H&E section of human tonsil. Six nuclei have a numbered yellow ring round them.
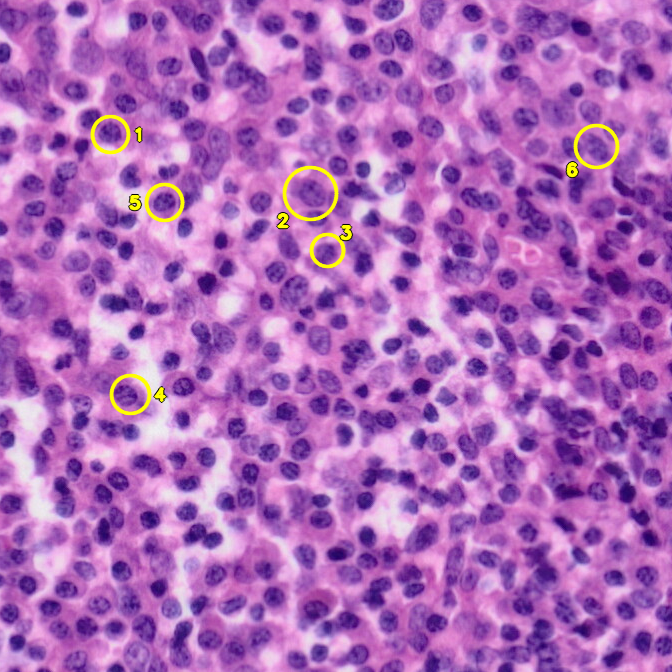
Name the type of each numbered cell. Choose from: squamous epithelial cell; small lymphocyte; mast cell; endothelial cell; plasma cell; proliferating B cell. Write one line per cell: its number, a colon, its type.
1: plasma cell
2: squamous epithelial cell
3: plasma cell
4: plasma cell
5: plasma cell
6: squamous epithelial cell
